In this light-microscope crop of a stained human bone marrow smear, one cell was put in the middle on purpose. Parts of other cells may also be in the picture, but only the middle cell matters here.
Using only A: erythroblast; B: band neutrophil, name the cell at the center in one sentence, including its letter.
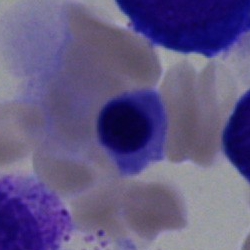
The middle cell of the crop is an erythroblast; accordingly, option A is correct.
